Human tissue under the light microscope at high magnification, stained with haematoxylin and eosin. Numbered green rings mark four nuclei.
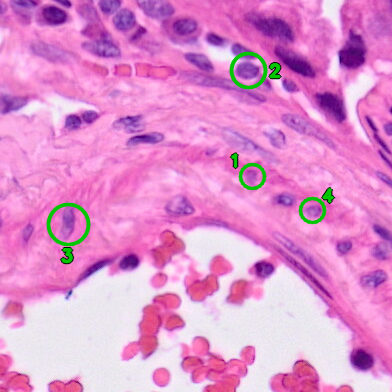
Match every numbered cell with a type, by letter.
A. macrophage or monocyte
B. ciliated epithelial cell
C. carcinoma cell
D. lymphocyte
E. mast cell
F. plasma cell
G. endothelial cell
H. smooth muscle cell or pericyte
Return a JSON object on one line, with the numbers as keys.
{"1": "H", "2": "D", "3": "H", "4": "H"}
